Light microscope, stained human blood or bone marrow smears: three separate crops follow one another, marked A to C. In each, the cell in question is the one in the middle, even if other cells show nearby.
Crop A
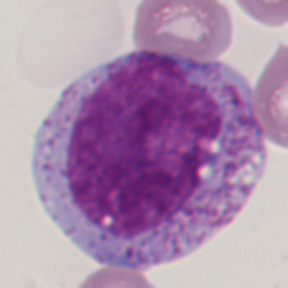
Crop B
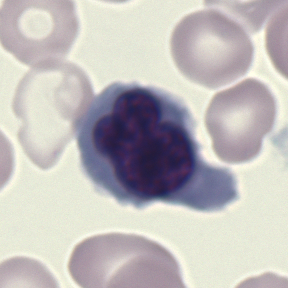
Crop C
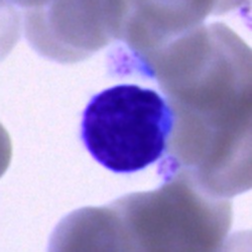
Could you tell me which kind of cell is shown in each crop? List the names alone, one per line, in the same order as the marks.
promyelocyte
normoblast
lymphocyte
